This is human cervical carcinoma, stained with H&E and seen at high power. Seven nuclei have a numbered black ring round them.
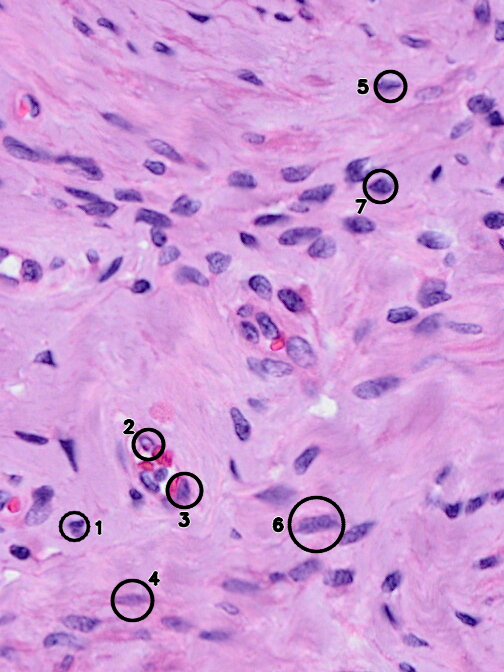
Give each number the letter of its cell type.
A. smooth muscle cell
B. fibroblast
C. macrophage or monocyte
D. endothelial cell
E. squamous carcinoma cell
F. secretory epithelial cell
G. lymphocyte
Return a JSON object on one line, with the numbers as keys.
{"1": "B", "2": "D", "3": "D", "4": "A", "5": "B", "6": "B", "7": "B"}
